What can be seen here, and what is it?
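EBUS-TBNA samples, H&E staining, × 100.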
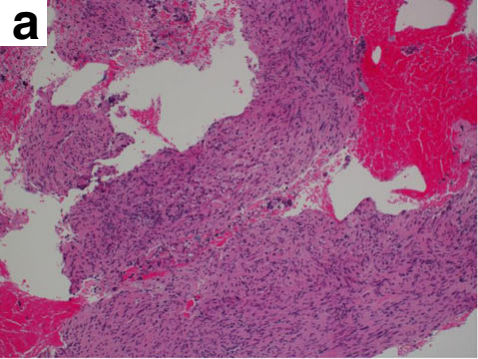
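The elongated nuclei line up in streaming bundles that form a fascicular pattern. Bright red blood lies beside the tissue fragments, and clear spaces separate the pieces.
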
